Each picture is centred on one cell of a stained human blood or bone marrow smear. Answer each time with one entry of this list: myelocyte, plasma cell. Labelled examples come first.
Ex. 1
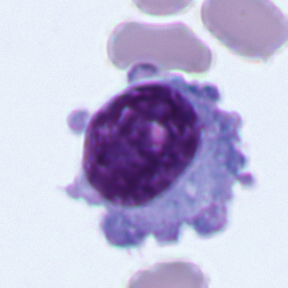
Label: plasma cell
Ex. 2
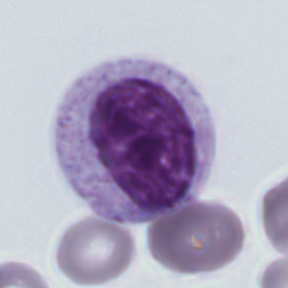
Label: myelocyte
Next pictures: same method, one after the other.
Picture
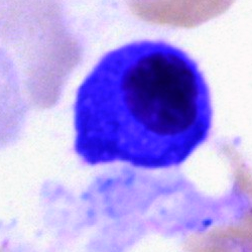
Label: plasma cell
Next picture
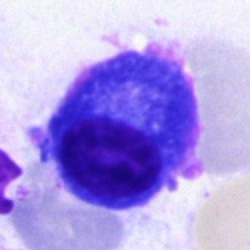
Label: plasma cell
